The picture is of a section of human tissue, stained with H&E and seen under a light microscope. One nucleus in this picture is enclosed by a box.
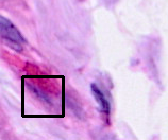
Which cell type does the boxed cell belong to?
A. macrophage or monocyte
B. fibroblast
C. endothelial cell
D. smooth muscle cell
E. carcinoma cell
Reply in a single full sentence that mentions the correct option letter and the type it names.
Option C properly identifies the boxed cell as an endothelial cell.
